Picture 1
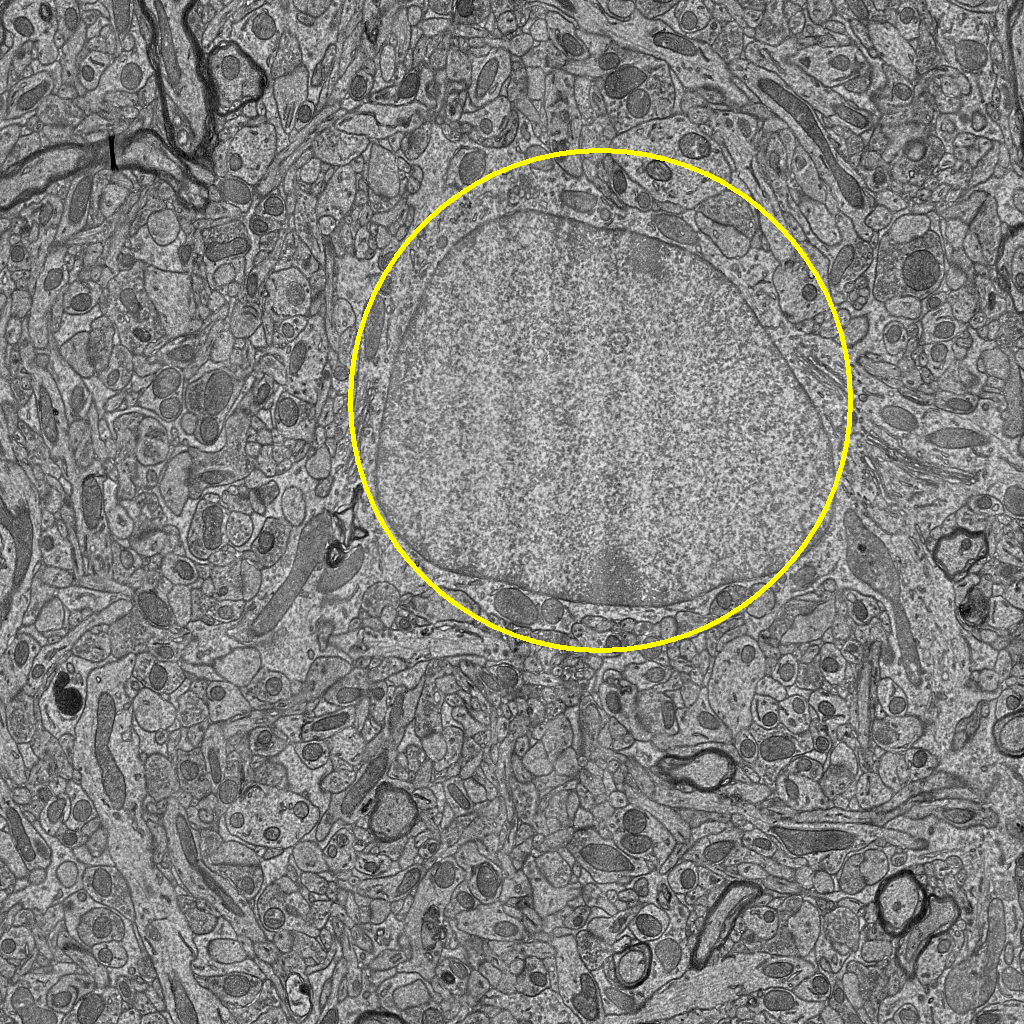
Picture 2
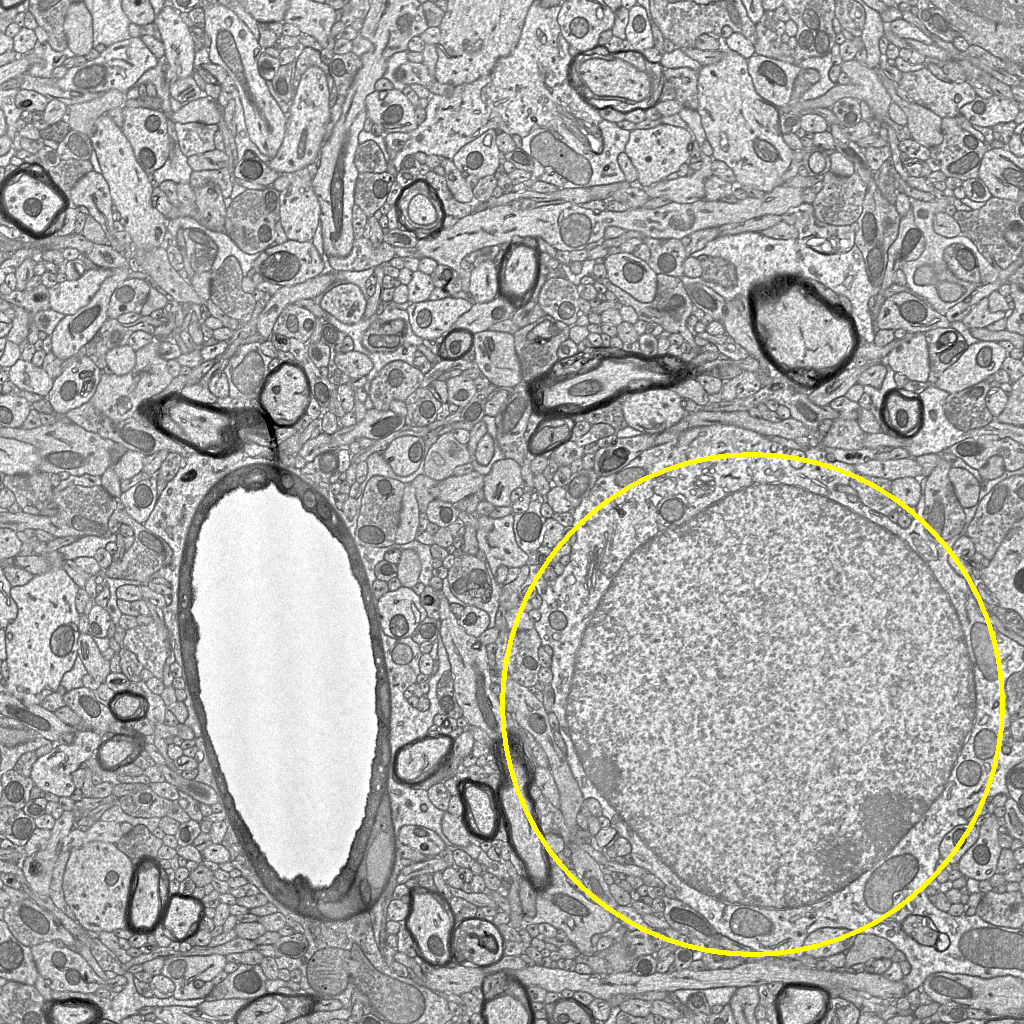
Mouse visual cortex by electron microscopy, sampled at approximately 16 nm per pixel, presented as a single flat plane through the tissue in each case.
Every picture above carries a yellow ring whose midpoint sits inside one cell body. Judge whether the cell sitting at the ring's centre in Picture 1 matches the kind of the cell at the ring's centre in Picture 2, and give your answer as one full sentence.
Yes, the cells at the centres of the rings in Pictures 1 and 2 belong to one kind.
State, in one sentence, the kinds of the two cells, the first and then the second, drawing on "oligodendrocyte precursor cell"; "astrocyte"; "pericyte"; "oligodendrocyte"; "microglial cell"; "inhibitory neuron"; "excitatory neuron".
Both cells are the same kind, each one being an astrocyte.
